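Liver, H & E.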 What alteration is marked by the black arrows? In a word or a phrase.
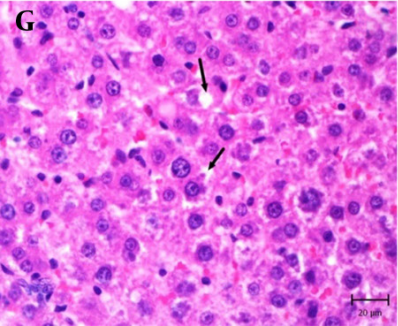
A: cell swelling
